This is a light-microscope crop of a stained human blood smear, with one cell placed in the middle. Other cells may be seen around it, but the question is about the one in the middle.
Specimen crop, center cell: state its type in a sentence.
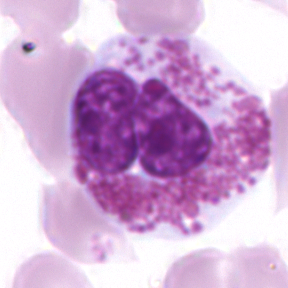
This crop's central cell is an eosinophil.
